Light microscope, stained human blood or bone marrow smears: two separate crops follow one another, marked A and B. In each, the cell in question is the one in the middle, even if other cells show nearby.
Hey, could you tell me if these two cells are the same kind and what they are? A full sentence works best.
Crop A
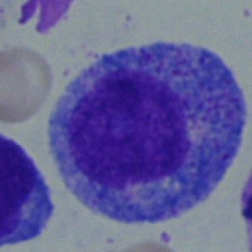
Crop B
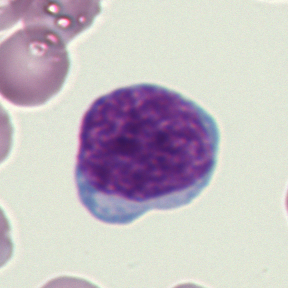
No, a promyelocyte and a blast are found in crop A and crop B, respectively.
